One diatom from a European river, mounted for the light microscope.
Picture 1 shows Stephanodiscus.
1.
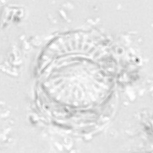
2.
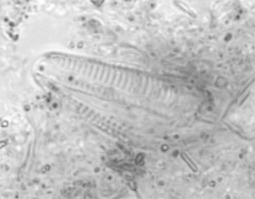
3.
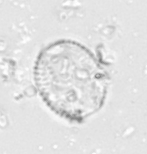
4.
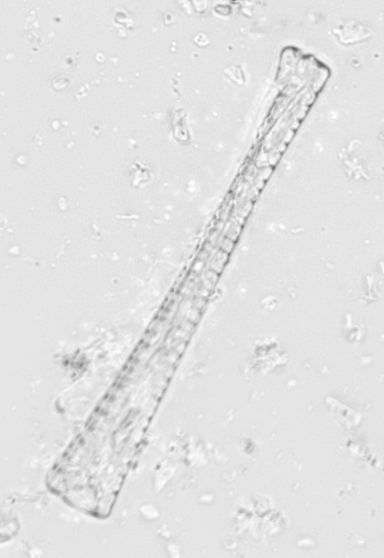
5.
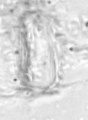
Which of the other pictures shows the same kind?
Picture 5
